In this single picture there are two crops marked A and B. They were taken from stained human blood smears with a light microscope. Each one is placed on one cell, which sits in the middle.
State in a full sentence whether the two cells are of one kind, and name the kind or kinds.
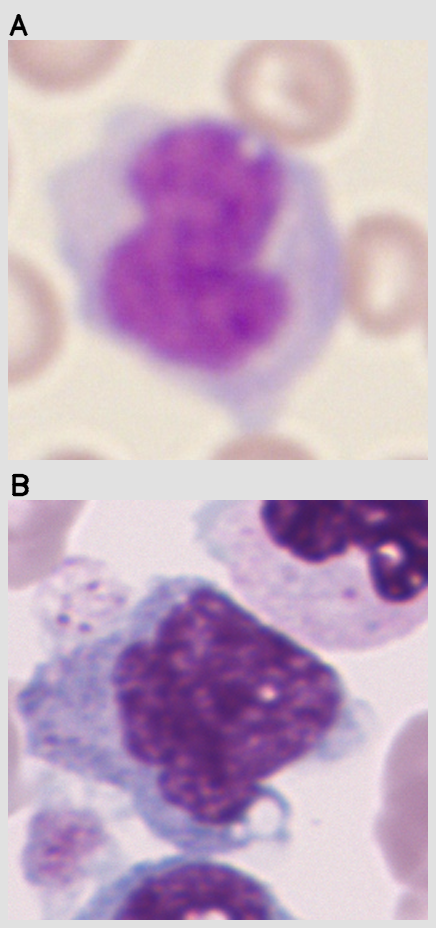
Yes, the pair of crops both show monocytes.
